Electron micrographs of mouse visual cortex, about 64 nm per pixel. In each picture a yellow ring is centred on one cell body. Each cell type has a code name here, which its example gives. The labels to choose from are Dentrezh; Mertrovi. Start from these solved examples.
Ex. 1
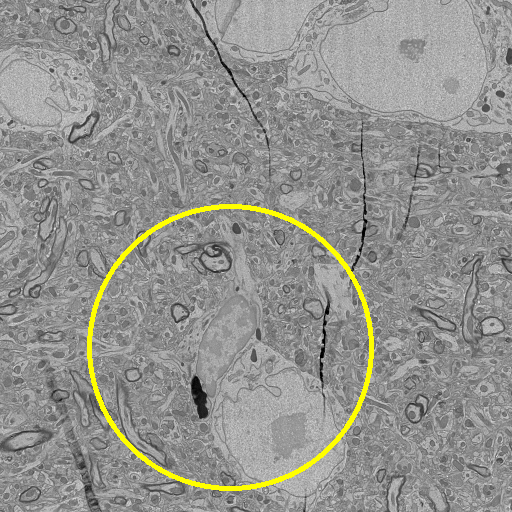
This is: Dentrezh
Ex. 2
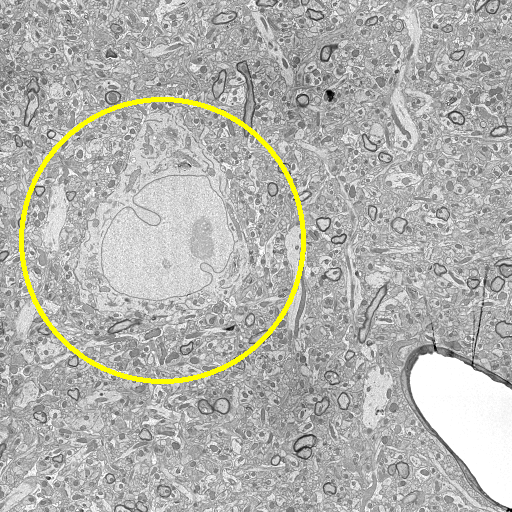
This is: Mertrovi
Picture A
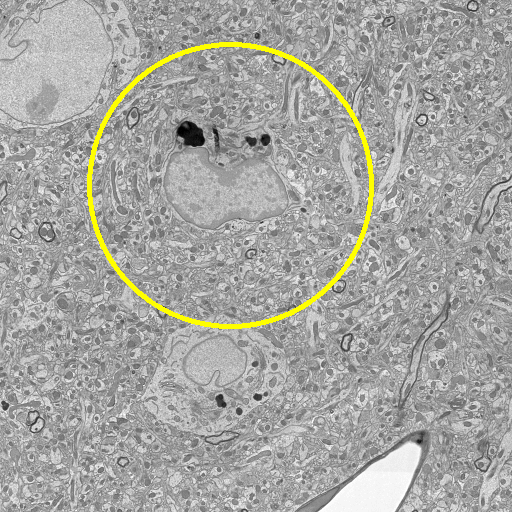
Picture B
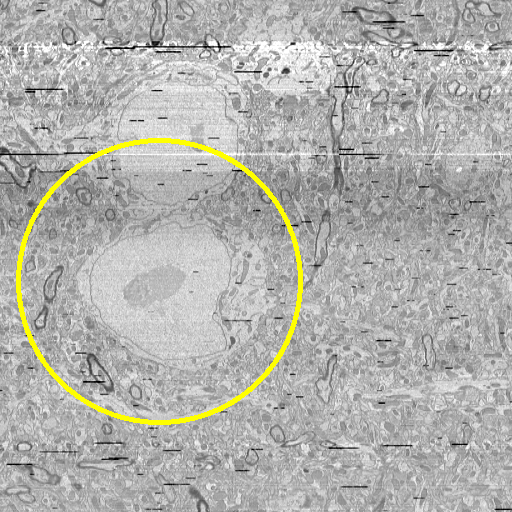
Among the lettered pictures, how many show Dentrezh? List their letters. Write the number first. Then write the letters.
Count: 1 (A)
